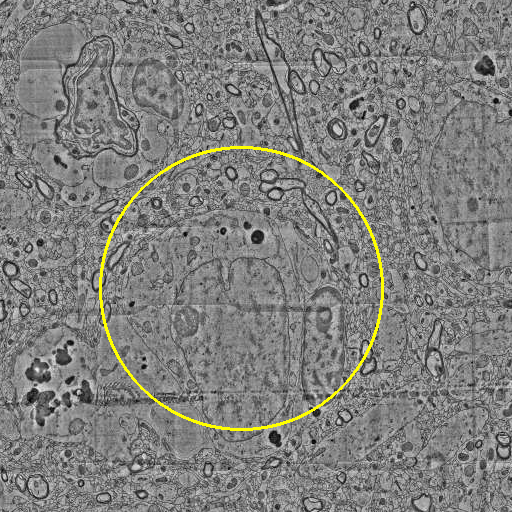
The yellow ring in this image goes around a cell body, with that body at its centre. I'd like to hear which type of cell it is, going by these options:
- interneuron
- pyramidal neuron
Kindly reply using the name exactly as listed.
pyramidal neuron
